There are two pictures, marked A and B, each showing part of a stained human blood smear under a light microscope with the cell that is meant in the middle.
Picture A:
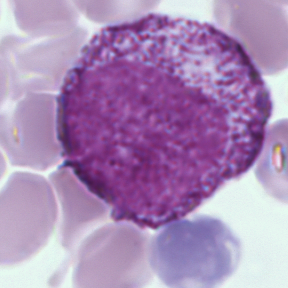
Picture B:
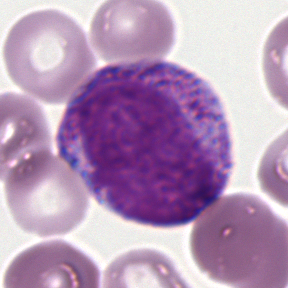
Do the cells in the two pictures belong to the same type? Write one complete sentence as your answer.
No. Picture A shows a myelocyte, but picture B shows an atypical promyelocyte.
